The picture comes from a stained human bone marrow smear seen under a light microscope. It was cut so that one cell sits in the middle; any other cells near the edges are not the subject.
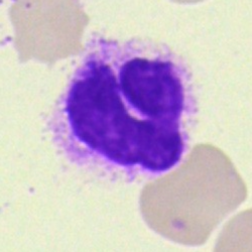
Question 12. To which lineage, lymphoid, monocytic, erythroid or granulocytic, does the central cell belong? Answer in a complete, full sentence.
The cell sitting in the middle of this crop is of the granulocytic line.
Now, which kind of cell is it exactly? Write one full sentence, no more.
The cell found in the middle of this crop is a segmented neutrophil.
